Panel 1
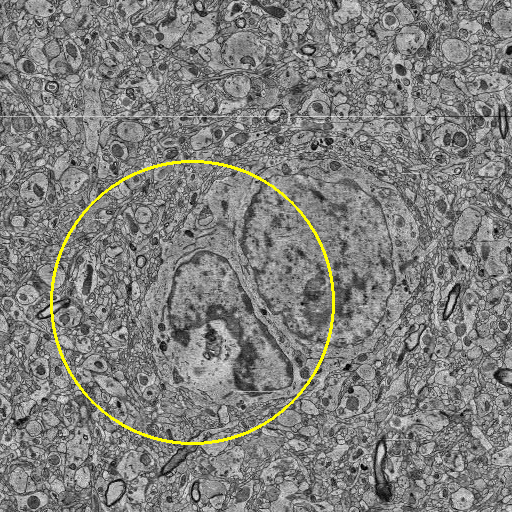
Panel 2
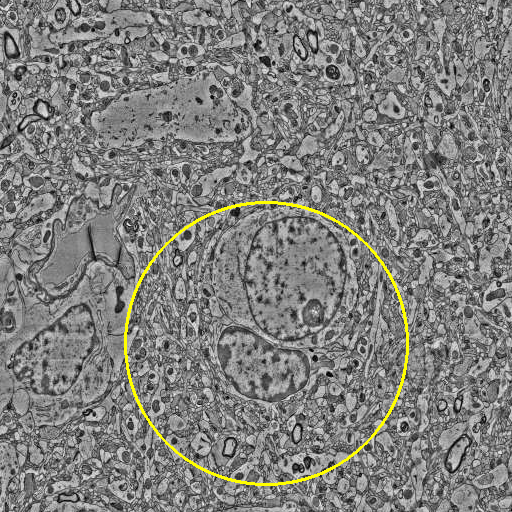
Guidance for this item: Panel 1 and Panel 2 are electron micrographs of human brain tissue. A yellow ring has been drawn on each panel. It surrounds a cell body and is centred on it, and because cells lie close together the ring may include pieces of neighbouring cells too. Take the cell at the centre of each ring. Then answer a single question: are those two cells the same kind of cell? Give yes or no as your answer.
yes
